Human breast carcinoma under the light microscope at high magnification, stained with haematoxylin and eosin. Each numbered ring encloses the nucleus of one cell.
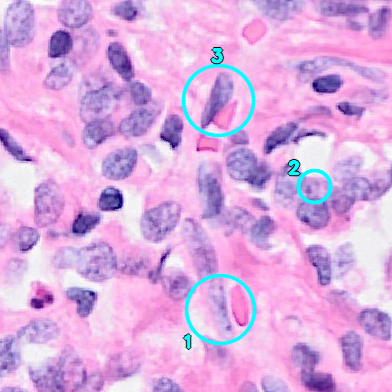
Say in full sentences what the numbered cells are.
Cells 1 and 3 are endothelial cells. Cell 2 is a carcinoma cell.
